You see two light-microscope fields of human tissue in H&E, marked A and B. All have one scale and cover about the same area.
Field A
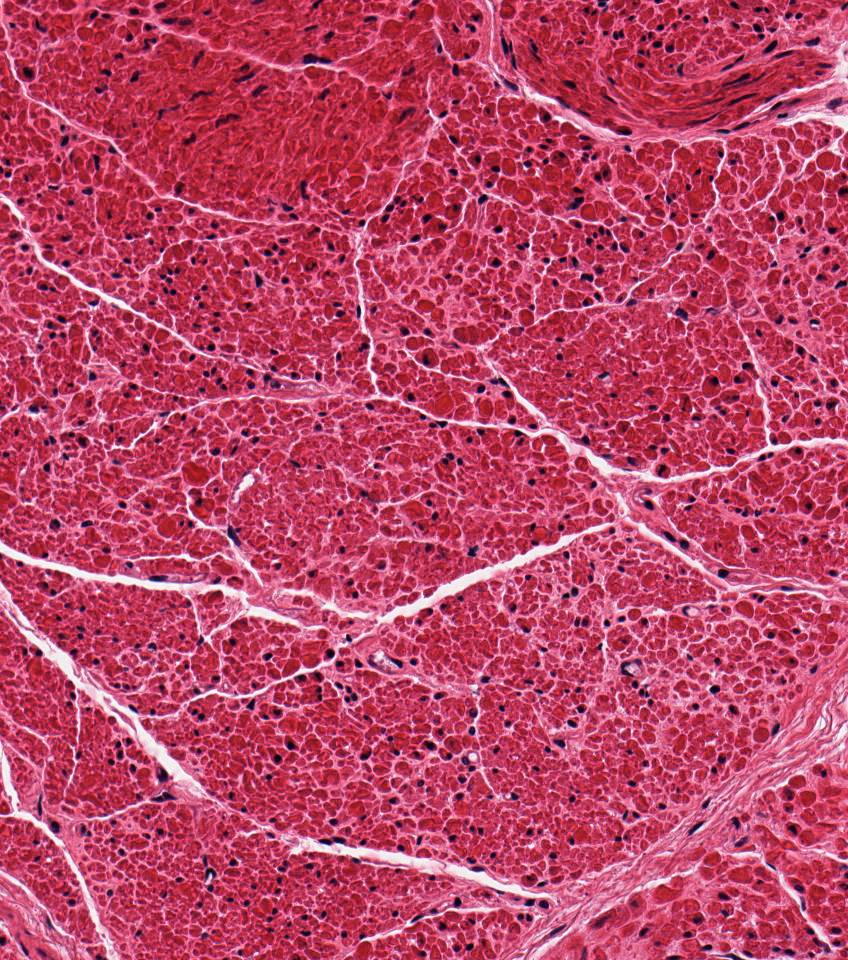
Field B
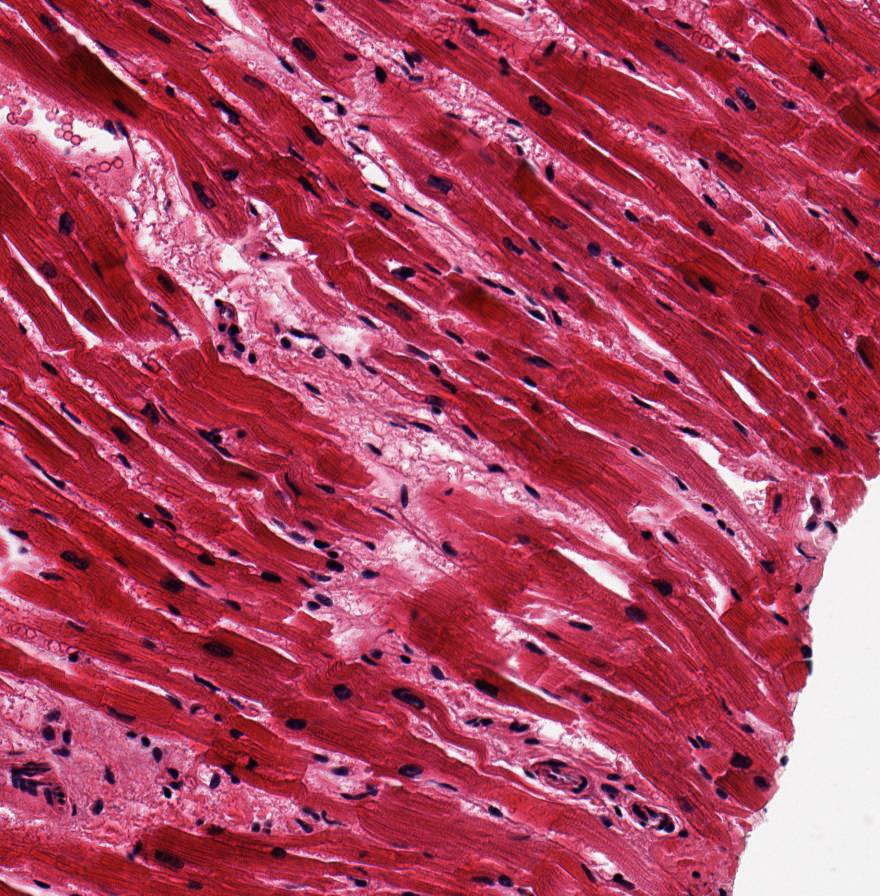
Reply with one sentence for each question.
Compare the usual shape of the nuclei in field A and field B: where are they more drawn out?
Longer, more slender nuclei lie in field B.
